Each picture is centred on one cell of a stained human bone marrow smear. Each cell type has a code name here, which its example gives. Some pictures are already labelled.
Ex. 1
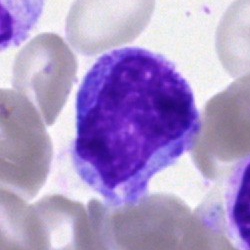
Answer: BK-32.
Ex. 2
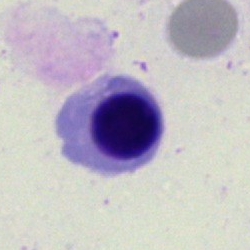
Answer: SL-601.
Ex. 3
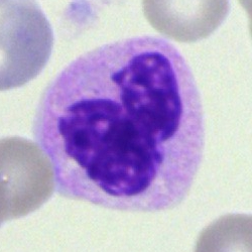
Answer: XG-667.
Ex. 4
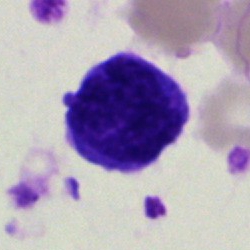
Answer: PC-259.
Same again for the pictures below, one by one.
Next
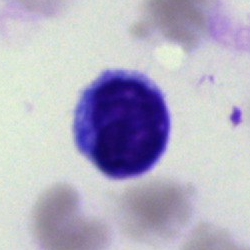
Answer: BK-32.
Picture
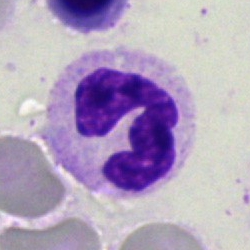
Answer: XG-667.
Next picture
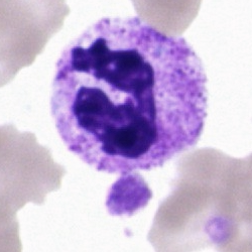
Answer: XG-667.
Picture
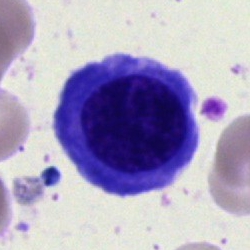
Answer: SL-601.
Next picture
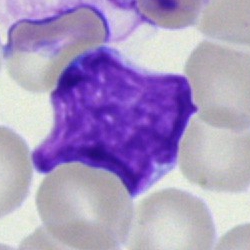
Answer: PC-259.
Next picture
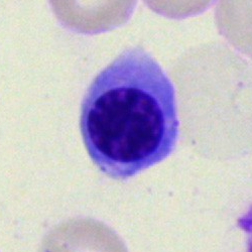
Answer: SL-601.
